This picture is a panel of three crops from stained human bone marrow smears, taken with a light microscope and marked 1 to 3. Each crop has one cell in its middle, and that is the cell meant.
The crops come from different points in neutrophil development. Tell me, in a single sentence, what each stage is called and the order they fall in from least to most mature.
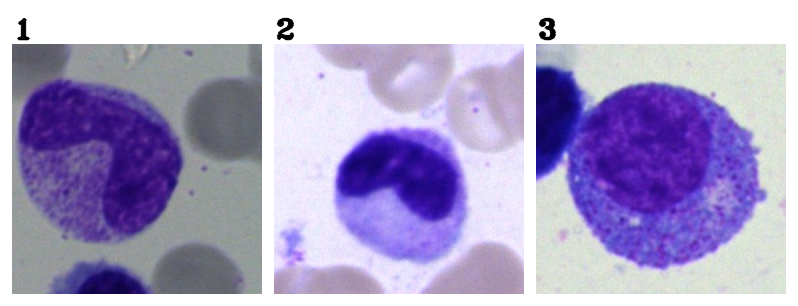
In order from least mature to most mature, the crops stand crop 3 (a promyelocyte), crop 2 (a metamyelocyte) and crop 1 (a band neutrophil).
